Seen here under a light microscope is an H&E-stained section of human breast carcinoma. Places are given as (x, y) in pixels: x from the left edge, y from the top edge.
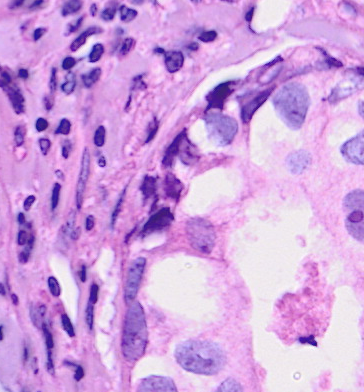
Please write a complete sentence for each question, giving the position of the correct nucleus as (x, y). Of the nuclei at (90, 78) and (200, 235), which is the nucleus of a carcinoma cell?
Located at (200, 235), this nucleus is the one belonging to a carcinoma cell.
